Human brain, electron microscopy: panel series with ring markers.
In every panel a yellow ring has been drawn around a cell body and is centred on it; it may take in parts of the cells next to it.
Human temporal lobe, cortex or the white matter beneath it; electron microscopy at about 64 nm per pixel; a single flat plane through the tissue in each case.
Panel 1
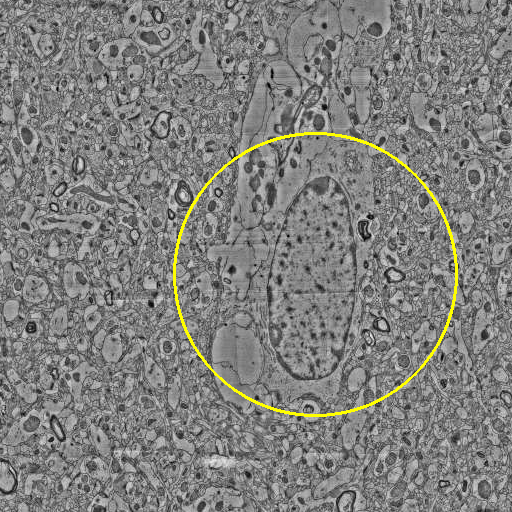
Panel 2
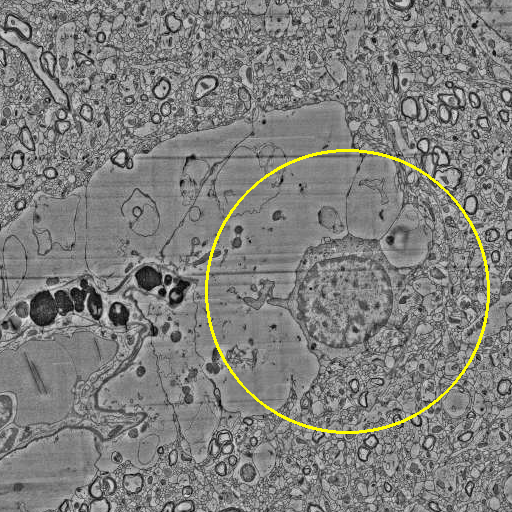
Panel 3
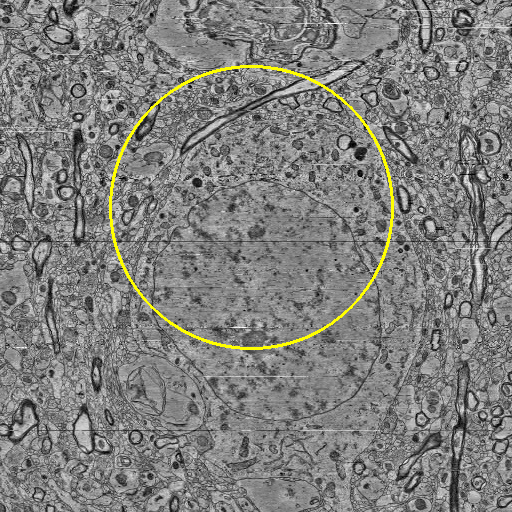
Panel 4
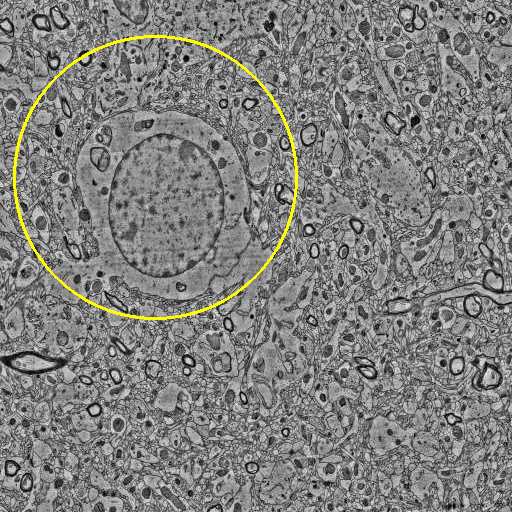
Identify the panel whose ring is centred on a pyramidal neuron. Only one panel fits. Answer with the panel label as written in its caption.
Panel 3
